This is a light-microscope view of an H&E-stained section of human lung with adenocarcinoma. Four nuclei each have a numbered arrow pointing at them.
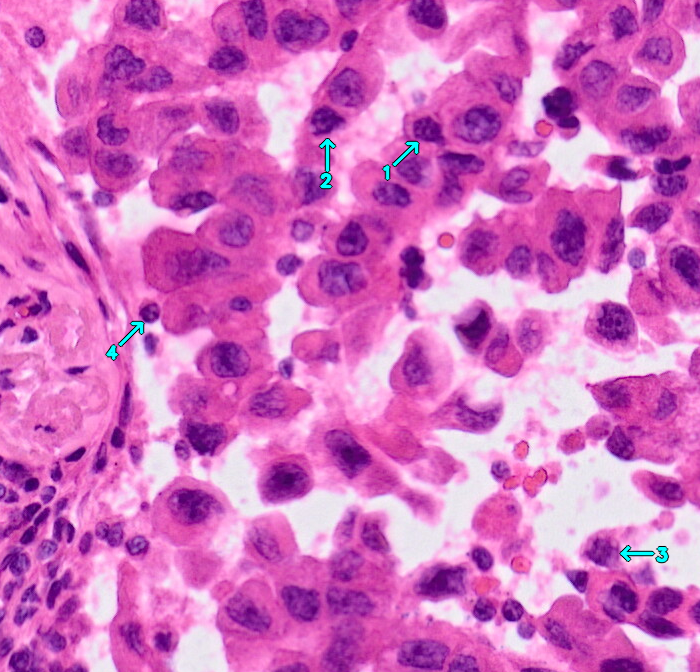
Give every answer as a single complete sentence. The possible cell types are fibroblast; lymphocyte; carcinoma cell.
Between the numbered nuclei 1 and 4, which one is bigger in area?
It is nucleus 1, which covers about 2 times the area of nucleus 4.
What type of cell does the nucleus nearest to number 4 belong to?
The nucleus nearest to number 4 is that of a lymphocyte.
